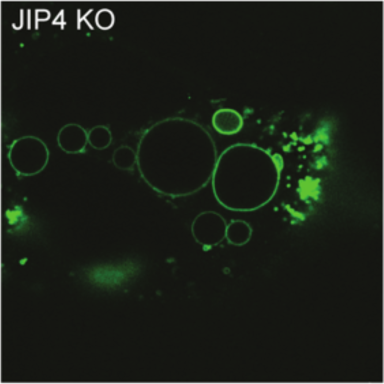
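The vacuoles appear as thin green rings of different sizes clustered together, the largest several times wider than the smallest, with dark interiors. Small bright green puncta lie beside the cluster, and irregular bright green patches lie at the edges of the field.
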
